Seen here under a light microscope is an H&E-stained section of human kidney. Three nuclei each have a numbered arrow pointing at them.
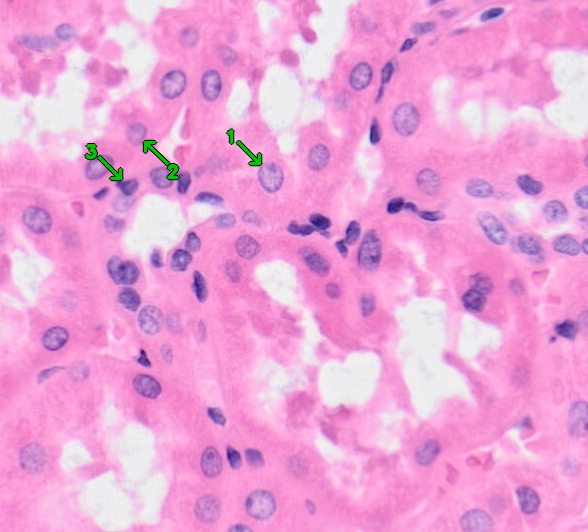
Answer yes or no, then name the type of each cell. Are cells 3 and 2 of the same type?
No, hold on, cell 3 is a collecting duct cell and cell 2 is a proximal tubule cell.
